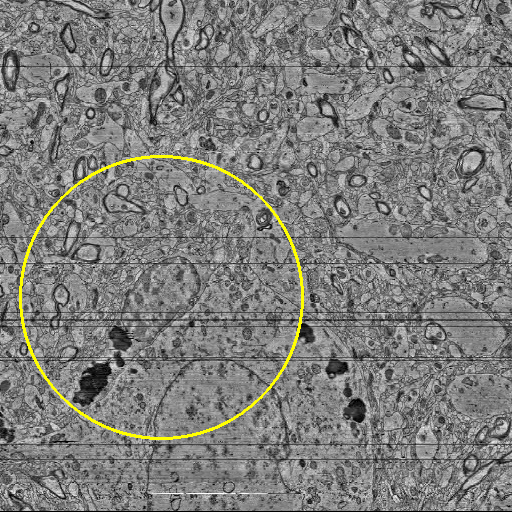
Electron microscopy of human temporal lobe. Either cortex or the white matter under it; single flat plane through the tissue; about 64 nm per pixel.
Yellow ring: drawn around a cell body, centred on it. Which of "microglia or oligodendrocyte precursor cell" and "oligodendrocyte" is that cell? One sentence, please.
That cell body is from an oligodendrocyte.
